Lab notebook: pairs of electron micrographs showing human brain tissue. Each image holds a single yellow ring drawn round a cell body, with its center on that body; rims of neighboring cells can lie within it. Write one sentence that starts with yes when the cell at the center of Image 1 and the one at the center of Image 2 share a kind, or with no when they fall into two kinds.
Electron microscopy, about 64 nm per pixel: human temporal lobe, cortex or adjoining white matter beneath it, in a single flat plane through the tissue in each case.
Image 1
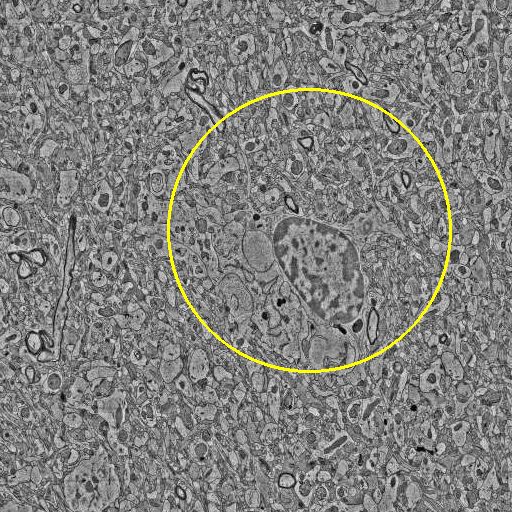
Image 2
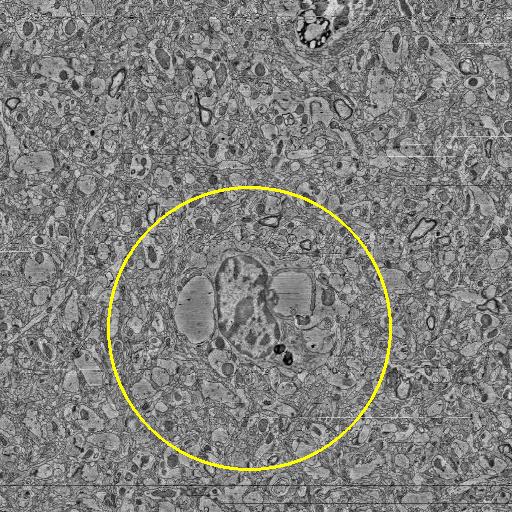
Yes, the centered cell in Image 1 and the centered cell in Image 2 are of one kind.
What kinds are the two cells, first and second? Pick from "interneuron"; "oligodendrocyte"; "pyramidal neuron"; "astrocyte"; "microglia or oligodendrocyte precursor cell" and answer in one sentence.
The ring centre holds a microglial cell or oligodendrocyte precursor cell in each of the two pictures.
